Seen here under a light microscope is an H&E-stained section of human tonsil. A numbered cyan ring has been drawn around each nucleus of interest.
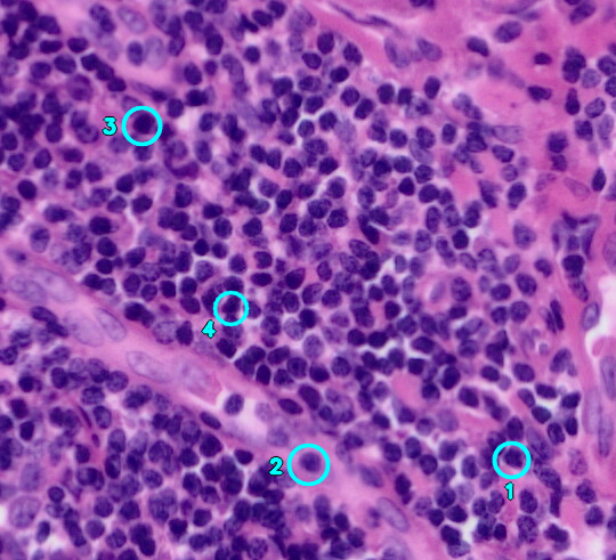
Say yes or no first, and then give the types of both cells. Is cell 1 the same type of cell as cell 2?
No, cell 1 is a small lymphocyte whereas cell 2 is an endothelial cell.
